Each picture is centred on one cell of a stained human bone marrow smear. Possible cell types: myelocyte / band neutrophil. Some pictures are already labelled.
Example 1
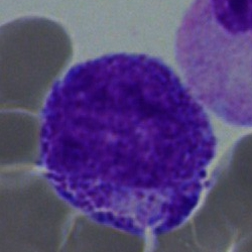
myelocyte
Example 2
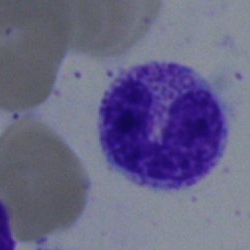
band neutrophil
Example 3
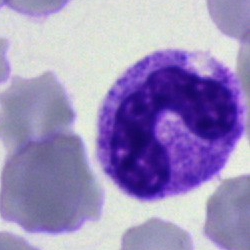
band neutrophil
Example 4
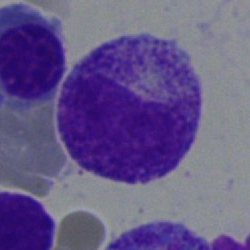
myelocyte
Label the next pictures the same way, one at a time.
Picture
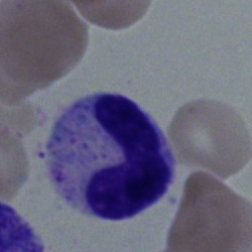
band neutrophil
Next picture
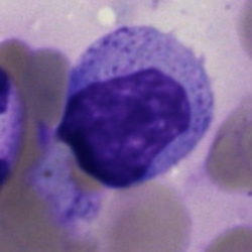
myelocyte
